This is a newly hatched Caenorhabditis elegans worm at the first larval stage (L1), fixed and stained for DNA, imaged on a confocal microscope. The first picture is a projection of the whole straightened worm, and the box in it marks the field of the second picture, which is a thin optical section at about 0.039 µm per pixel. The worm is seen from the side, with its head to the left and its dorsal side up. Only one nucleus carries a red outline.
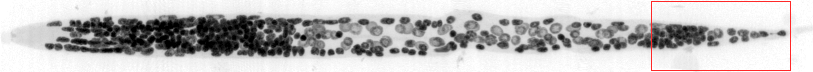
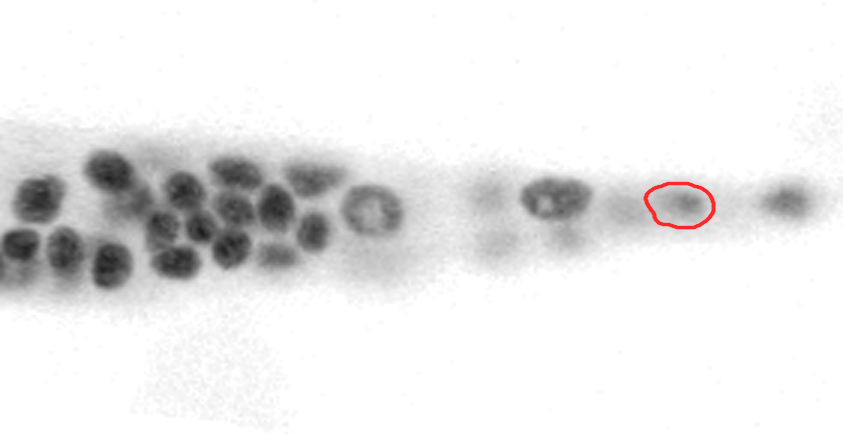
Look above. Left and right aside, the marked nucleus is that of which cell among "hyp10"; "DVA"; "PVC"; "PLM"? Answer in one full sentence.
This is the nucleus of hyp10, a hypodermal cell (hyp).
